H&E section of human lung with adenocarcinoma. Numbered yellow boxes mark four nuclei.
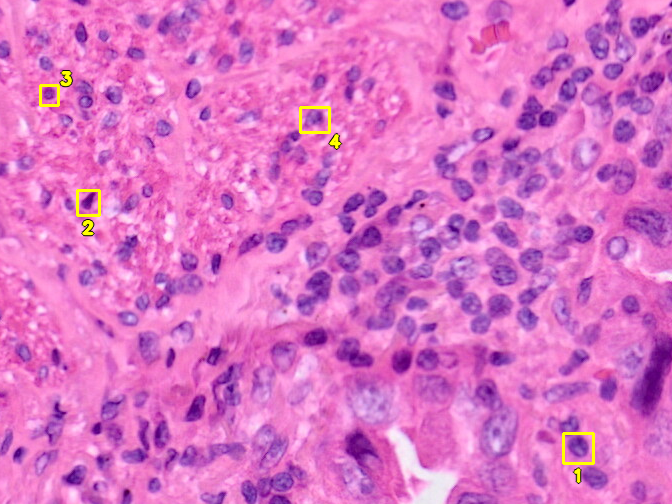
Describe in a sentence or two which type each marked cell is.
Cell 1 is a lymphocyte. Cells 2, 3 and 4 are smooth muscle cells or pericytes.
